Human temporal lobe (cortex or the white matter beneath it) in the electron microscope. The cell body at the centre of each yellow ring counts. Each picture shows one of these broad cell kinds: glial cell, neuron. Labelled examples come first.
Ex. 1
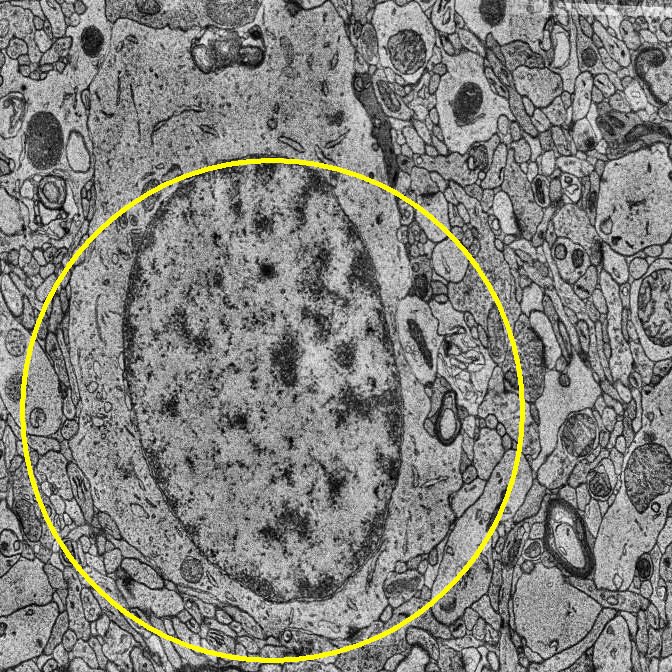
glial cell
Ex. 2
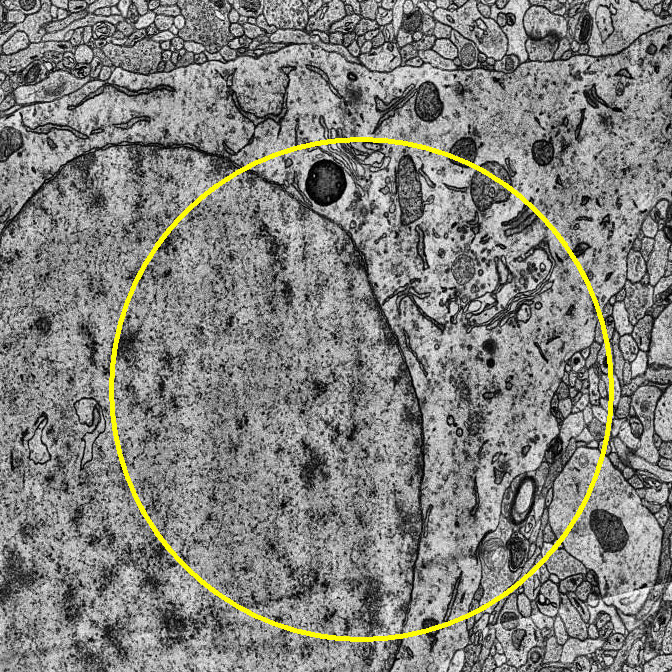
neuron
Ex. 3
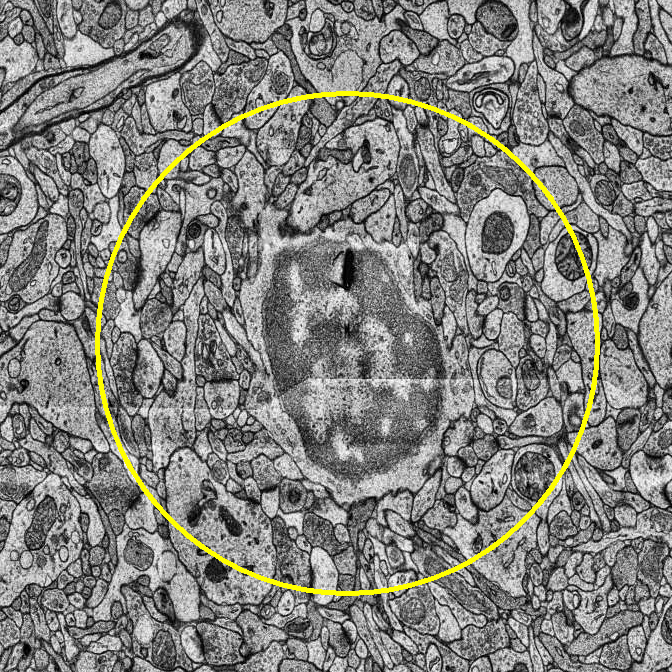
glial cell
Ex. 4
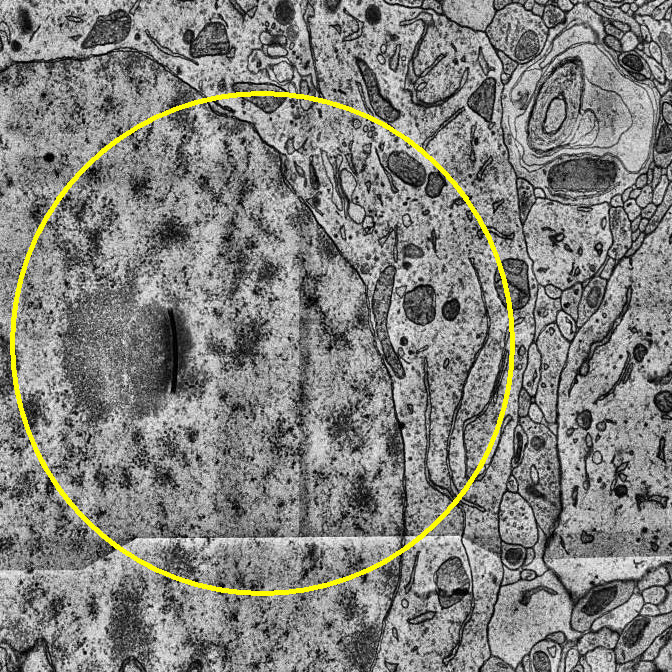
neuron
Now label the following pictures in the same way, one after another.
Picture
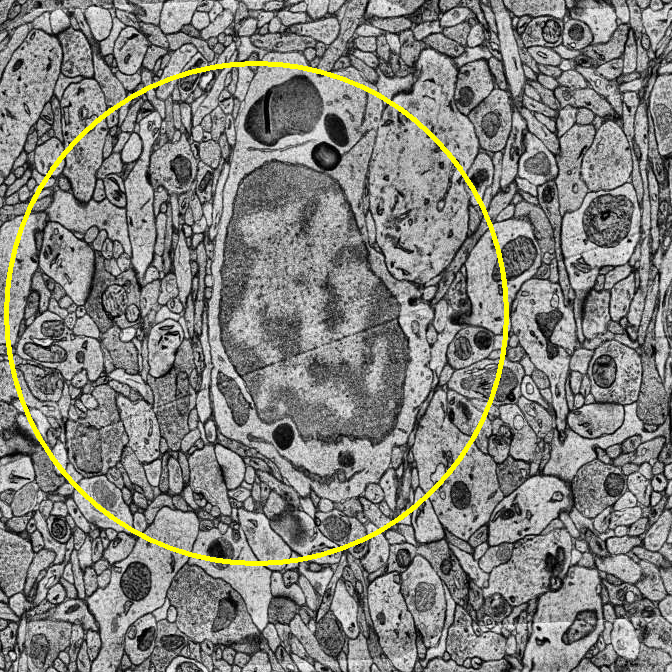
glial cell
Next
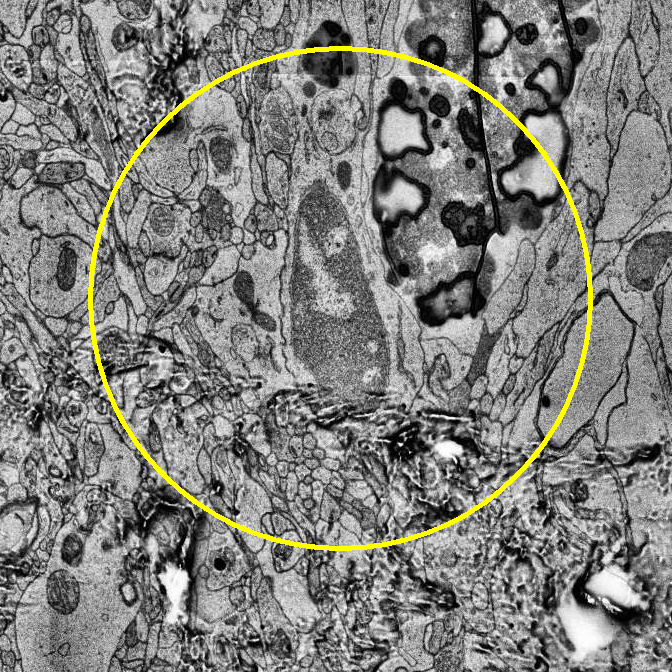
glial cell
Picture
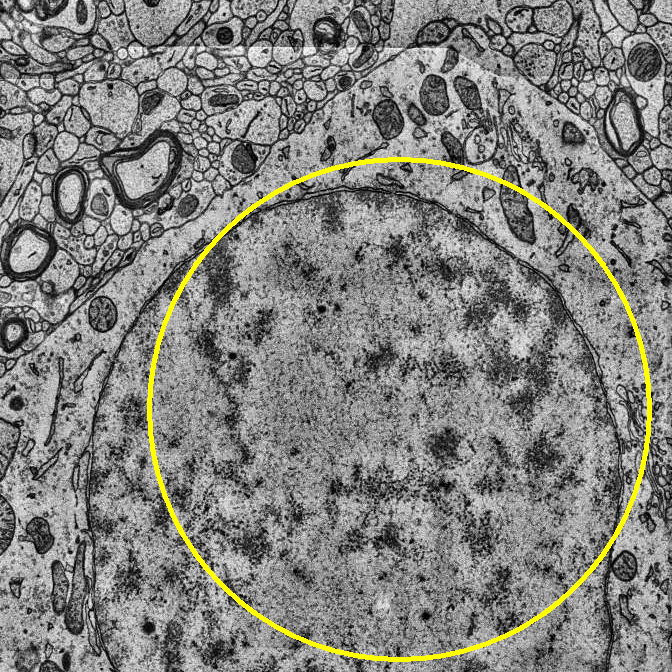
neuron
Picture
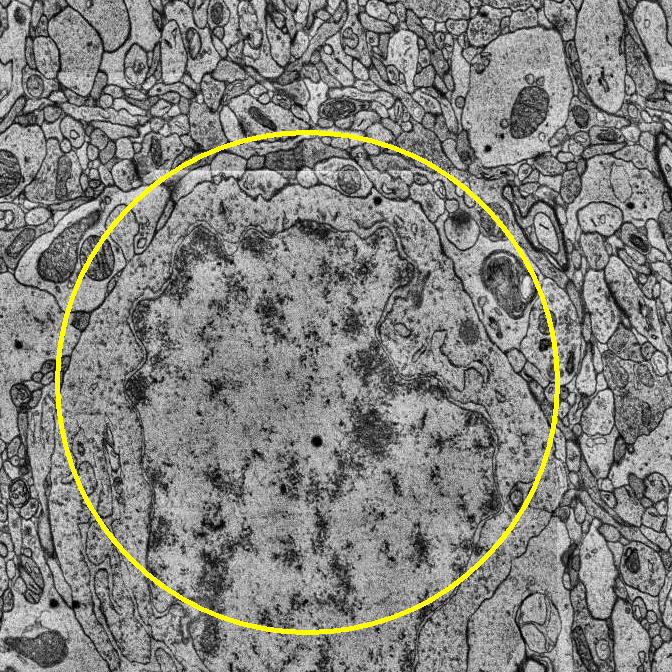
neuron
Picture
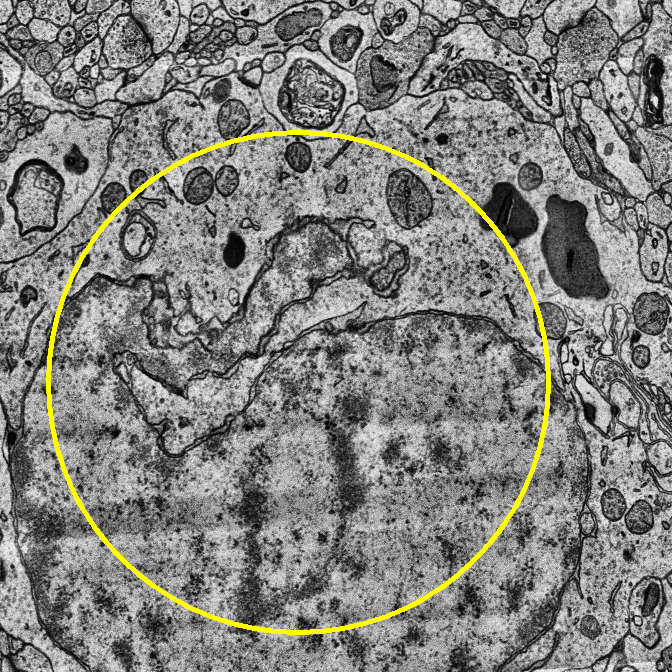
neuron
